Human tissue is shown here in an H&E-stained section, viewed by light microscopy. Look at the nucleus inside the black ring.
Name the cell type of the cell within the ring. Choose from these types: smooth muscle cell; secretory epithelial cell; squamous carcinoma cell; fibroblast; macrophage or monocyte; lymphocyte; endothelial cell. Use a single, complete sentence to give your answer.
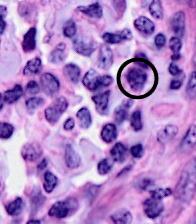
Speaking plainly, the cell within the ring is nothing other than a lymphocyte.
